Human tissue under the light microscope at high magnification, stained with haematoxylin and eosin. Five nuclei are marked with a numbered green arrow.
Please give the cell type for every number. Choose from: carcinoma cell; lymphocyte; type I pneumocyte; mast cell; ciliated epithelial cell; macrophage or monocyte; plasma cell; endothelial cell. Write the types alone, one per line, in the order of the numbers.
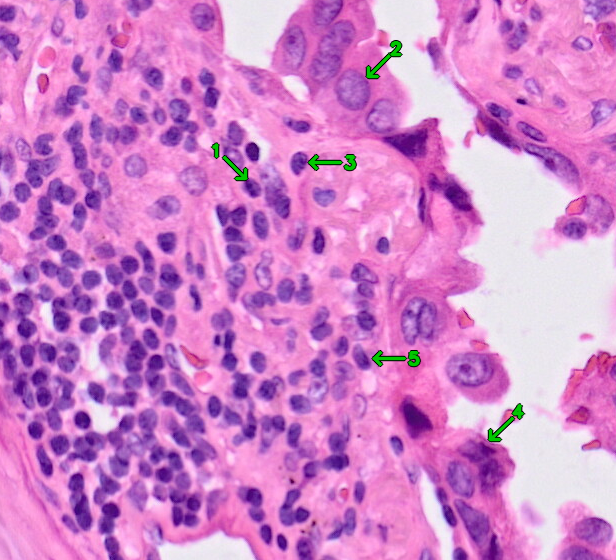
lymphocyte
carcinoma cell
lymphocyte
carcinoma cell
lymphocyte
